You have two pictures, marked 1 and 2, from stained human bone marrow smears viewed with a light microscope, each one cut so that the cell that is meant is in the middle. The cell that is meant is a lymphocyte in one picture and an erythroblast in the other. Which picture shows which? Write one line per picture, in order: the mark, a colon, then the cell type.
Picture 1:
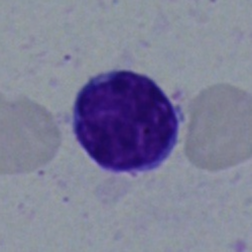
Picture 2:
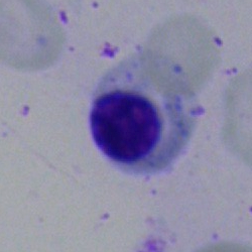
1: lymphocyte
2: erythroblast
